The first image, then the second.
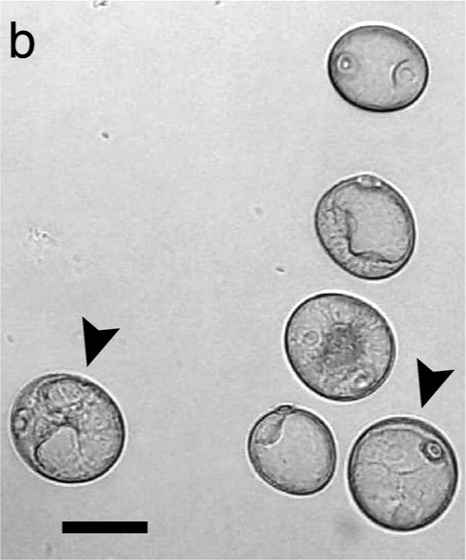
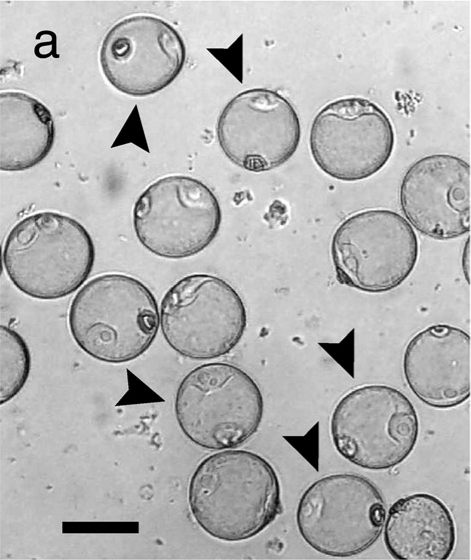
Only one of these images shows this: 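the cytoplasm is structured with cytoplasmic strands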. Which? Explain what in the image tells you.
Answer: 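The first image. First image: several cells have a granular interior crossed by strands. Second image: most cells have a clear, even interior with material only at the rim.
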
